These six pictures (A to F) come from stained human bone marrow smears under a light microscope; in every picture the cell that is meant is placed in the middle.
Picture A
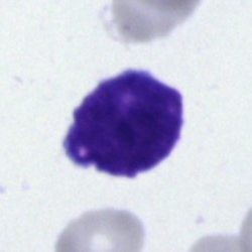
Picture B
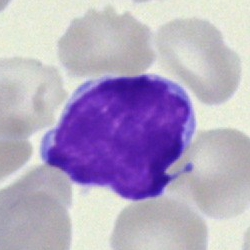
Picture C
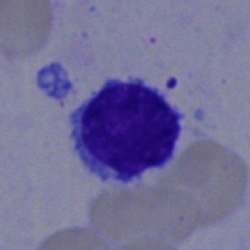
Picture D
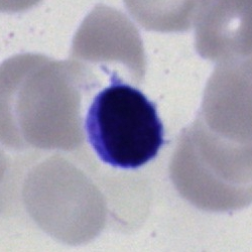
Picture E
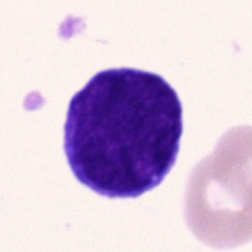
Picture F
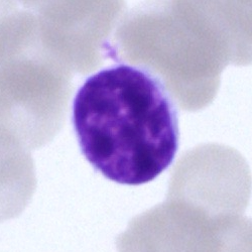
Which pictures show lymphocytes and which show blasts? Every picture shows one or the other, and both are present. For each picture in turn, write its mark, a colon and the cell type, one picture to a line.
A: blast
B: lymphocyte
C: lymphocyte
D: lymphocyte
E: blast
F: lymphocyte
